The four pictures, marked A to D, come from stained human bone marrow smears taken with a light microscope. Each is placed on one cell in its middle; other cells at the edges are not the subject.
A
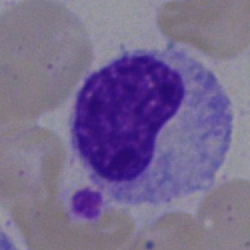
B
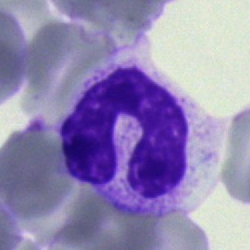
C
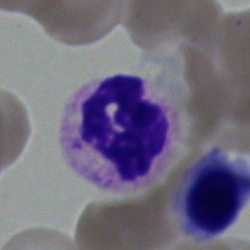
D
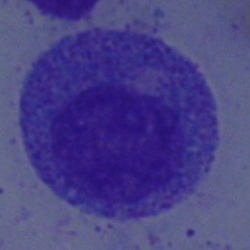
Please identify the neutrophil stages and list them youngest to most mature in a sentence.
Maturity order, least to most: crop D (a myelocyte), crop A (a metamyelocyte), crop B (a band neutrophil) and crop C (a segmented neutrophil).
